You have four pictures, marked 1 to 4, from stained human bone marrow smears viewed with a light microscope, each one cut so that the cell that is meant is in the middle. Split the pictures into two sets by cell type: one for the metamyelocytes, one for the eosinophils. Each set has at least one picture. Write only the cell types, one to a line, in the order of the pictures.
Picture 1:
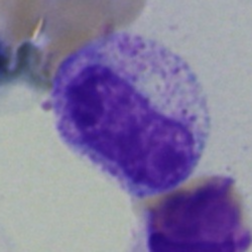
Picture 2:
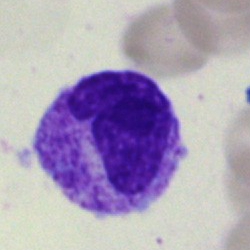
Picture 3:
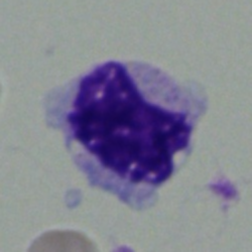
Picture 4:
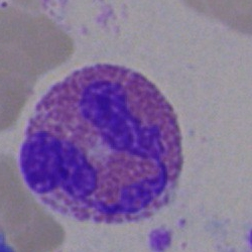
metamyelocyte
metamyelocyte
metamyelocyte
eosinophil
